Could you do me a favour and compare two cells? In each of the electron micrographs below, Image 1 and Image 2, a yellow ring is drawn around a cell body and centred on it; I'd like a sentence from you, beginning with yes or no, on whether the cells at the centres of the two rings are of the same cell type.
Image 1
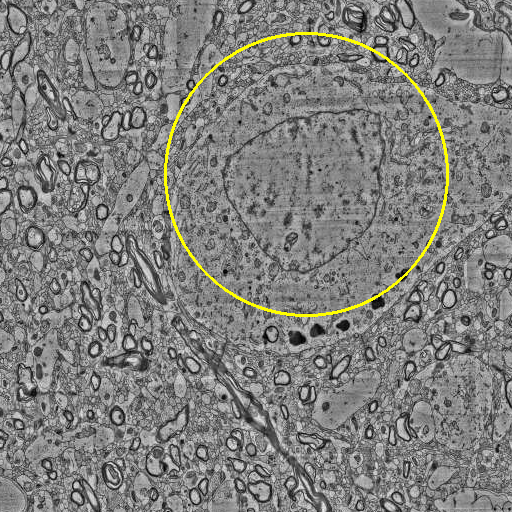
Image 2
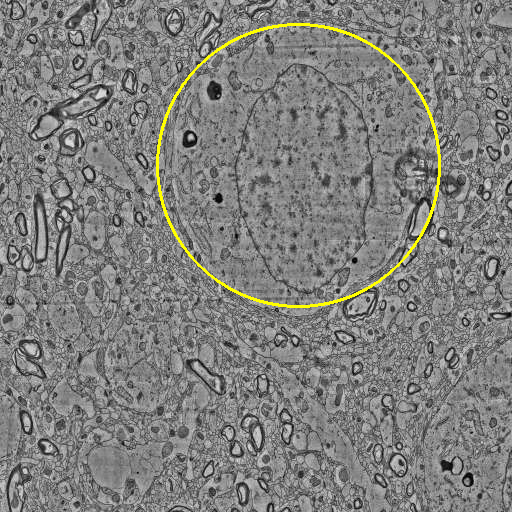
Yes, the two cells are of the same cell type.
